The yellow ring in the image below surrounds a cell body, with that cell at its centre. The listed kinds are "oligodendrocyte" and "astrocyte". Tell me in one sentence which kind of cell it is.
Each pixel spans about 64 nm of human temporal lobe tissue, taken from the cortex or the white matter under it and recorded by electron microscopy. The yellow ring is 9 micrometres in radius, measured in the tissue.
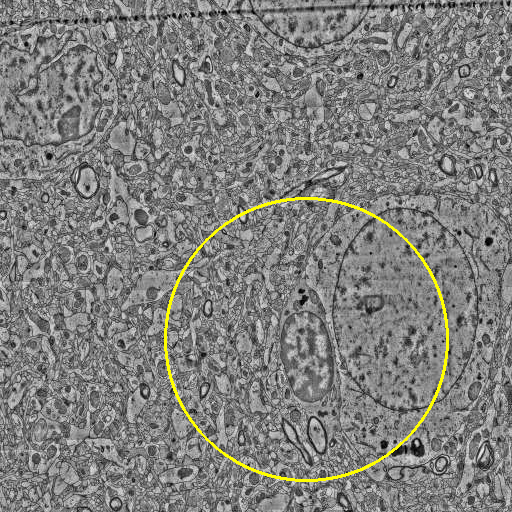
The centre of the ring holds an oligodendrocyte.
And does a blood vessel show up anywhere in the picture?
No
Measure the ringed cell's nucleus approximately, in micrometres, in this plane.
In this plane the nucleus is about 13 micrometres by 11.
